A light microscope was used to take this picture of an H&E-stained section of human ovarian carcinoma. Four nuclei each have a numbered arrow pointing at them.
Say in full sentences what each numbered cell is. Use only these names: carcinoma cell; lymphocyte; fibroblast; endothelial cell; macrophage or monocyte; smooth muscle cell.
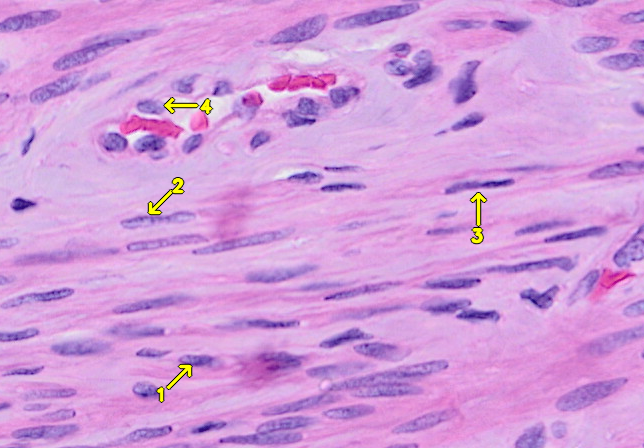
Cells 1, 2 and 3 are smooth muscle cells. Cell 4 is an endothelial cell.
